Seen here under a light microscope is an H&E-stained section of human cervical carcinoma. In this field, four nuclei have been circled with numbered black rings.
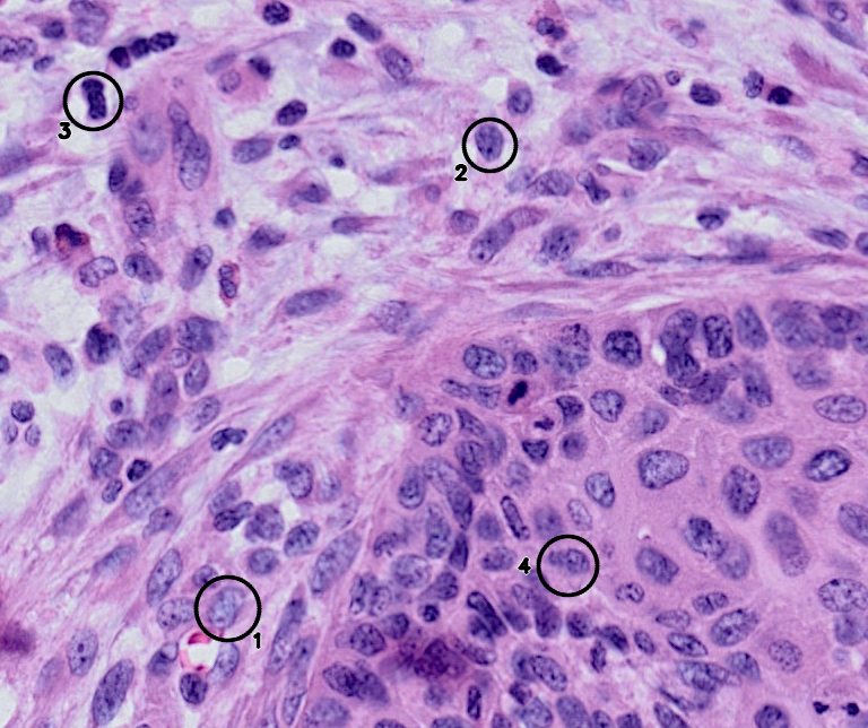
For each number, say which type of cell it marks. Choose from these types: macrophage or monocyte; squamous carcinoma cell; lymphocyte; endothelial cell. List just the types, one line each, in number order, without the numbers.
endothelial cell
macrophage or monocyte
lymphocyte
squamous carcinoma cell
